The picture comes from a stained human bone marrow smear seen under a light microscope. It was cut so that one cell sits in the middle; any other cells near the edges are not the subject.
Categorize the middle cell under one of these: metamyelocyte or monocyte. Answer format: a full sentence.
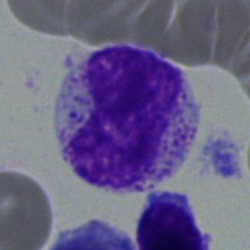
This crop is built around a metamyelocyte at its centre.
